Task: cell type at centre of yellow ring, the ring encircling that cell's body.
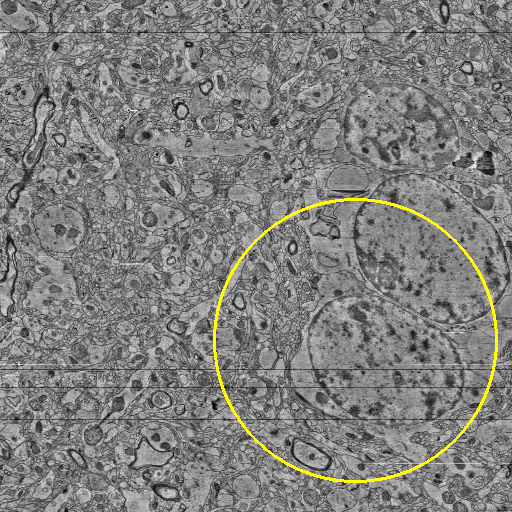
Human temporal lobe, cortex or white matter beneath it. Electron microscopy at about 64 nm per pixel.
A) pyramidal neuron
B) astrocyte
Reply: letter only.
B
